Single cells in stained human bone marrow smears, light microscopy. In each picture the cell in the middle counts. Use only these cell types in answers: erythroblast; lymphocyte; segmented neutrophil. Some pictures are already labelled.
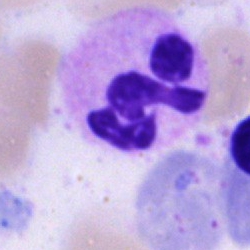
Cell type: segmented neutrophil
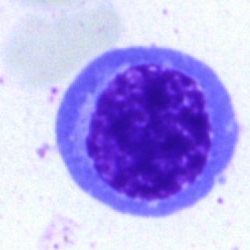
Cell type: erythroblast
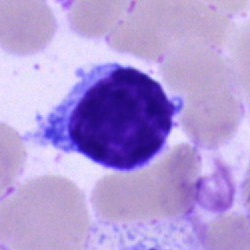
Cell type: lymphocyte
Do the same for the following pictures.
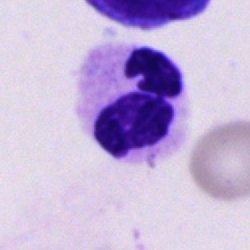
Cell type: segmented neutrophil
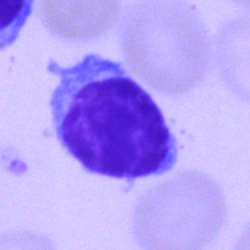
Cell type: lymphocyte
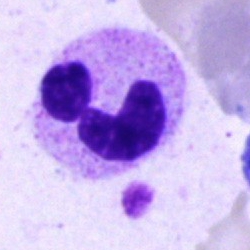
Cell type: segmented neutrophil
